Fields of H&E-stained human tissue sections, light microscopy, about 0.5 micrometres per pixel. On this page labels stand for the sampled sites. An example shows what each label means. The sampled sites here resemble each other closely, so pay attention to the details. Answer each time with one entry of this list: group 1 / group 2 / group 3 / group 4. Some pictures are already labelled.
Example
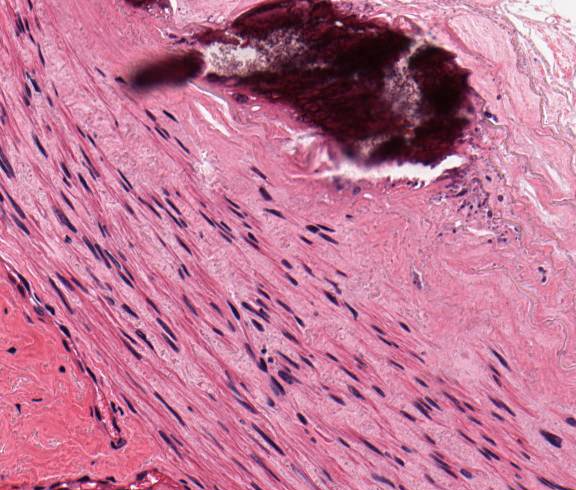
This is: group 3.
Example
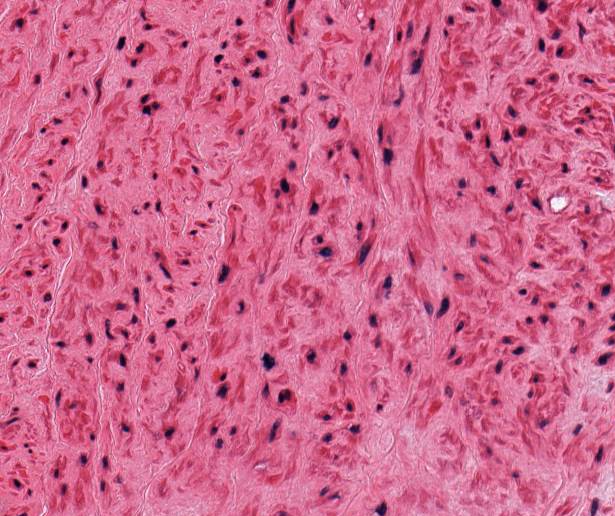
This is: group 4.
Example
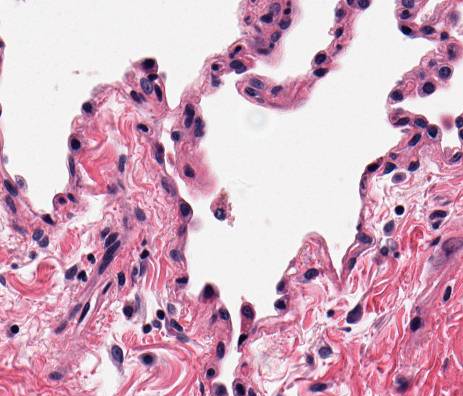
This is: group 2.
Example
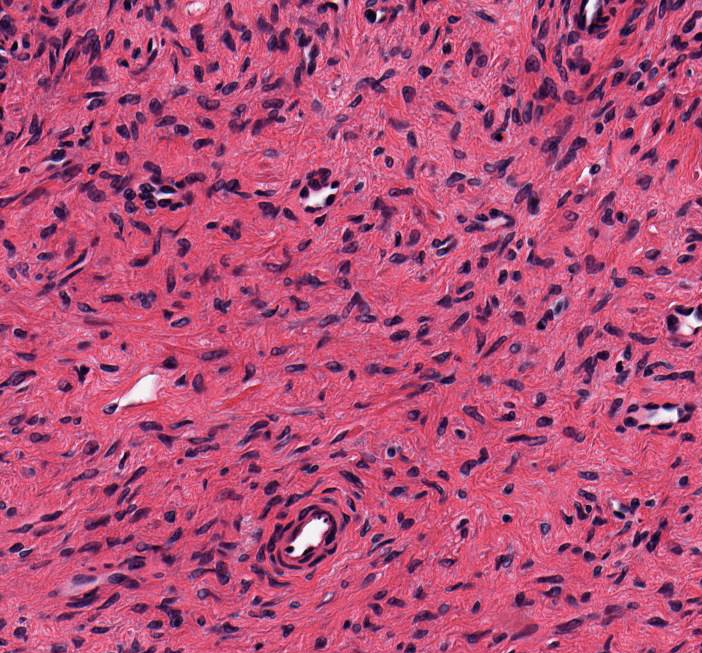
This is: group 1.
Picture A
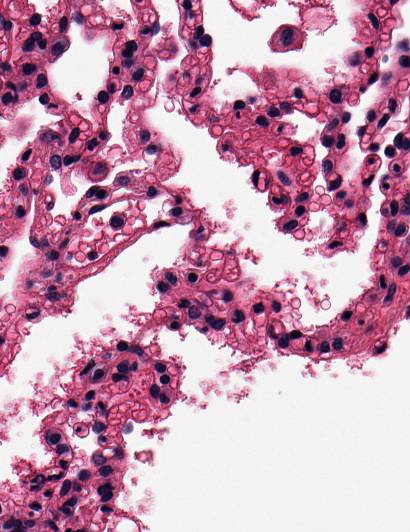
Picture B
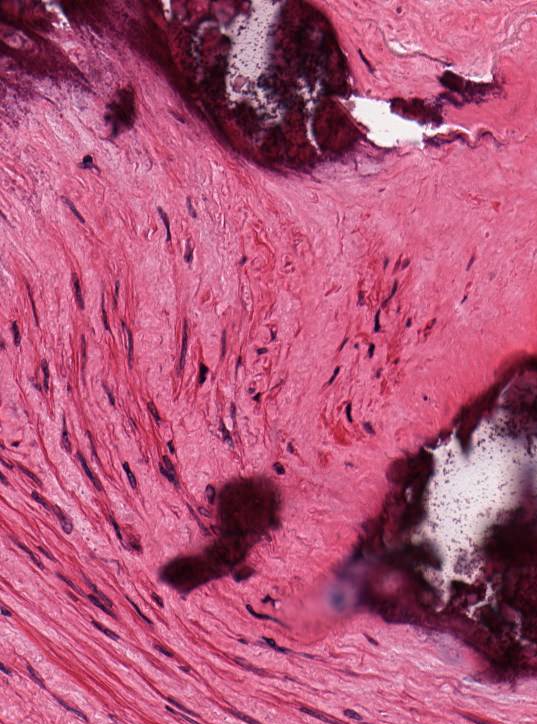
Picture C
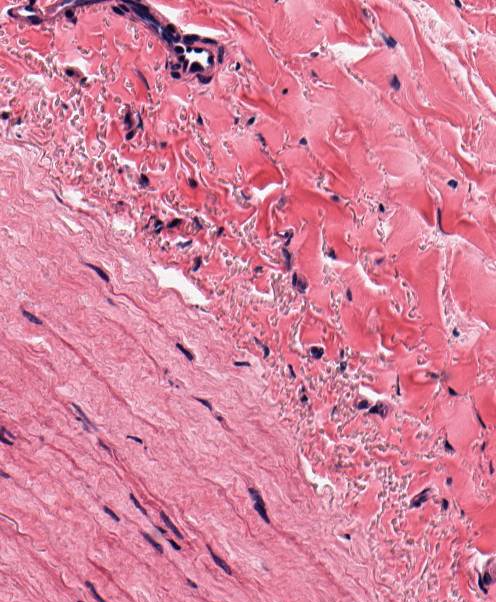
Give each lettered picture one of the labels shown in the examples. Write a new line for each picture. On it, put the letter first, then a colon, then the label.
A: group 2.
B: group 3.
C: group 3.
